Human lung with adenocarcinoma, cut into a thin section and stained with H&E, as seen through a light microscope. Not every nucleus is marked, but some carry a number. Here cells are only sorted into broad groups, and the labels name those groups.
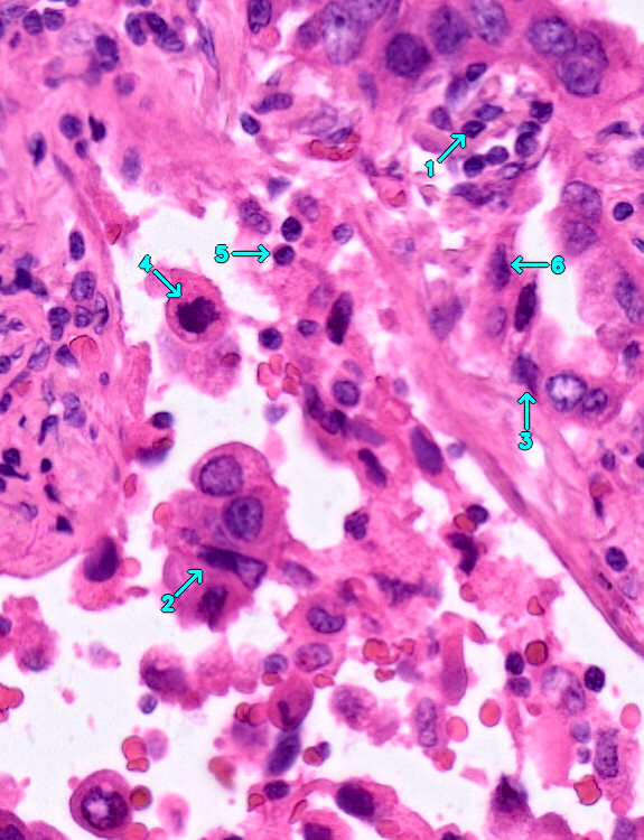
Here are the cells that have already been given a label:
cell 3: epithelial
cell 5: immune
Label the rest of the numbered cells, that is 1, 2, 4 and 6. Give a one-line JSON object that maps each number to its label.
{"1": "immune", "2": "epithelial", "4": "epithelial", "6": "epithelial"}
